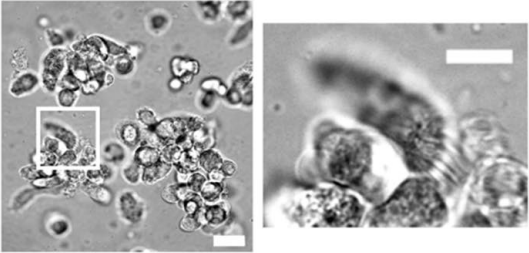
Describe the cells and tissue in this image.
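Most are rounded, with granular cytoplasm and bright, refractile edges. In the boxed area one cell carries a tuft of fine hair-like projections, which the enlargement shows as a row of thin parallel lines fringing one side of the cell. The cells around it lack such a fringe.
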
